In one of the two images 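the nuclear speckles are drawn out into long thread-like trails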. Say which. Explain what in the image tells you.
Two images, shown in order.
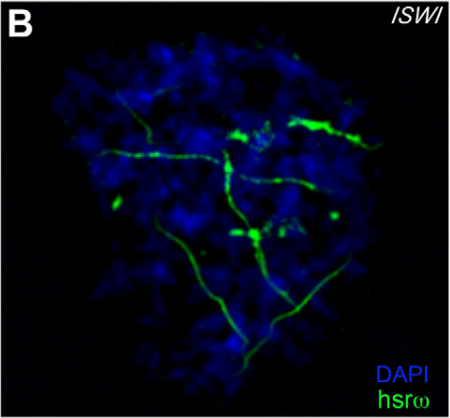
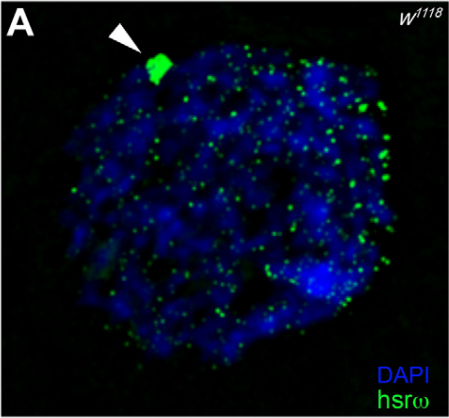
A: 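The first image. First image: the green signal forms long continuous threads crossing the nucleus. Second image: the green signal is many small separate dots scattered through the nucleus.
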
